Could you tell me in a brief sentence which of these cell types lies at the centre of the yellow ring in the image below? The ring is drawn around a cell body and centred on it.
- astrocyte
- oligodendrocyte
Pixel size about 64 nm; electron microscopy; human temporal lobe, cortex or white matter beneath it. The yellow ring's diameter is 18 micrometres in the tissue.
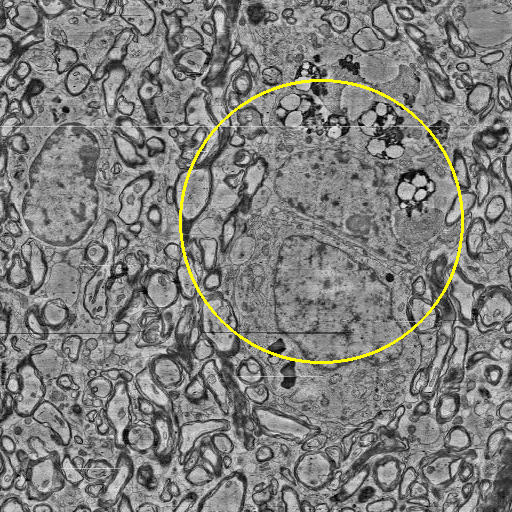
The cell centred in the ring is an astrocyte.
